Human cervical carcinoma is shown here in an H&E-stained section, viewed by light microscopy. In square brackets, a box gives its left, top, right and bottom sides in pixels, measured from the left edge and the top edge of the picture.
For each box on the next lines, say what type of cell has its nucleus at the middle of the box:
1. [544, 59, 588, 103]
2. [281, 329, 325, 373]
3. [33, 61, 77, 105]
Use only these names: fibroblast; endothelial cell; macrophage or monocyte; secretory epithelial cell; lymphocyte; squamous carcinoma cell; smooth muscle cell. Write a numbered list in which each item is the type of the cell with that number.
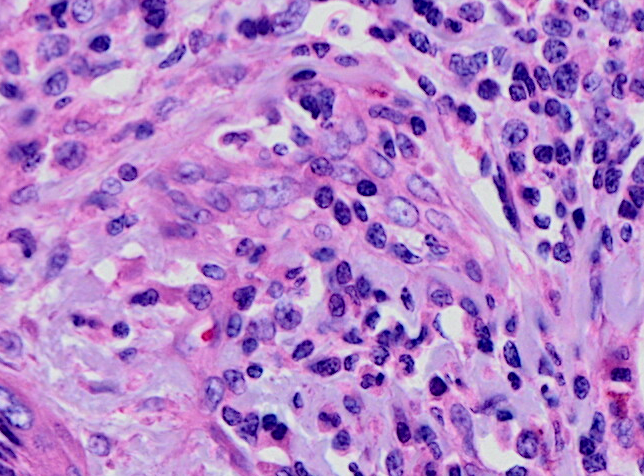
1. lymphocyte
2. lymphocyte
3. macrophage or monocyte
